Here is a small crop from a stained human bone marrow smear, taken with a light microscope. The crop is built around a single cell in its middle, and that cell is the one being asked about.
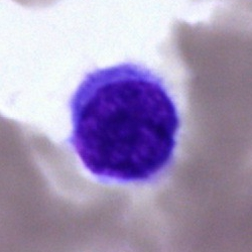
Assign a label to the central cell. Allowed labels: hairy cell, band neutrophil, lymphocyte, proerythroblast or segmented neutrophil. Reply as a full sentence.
Within this crop, a lymphocyte occupies the central position.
